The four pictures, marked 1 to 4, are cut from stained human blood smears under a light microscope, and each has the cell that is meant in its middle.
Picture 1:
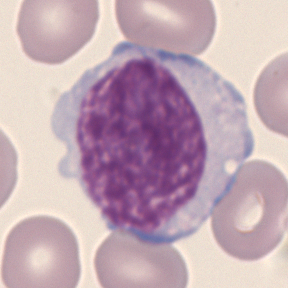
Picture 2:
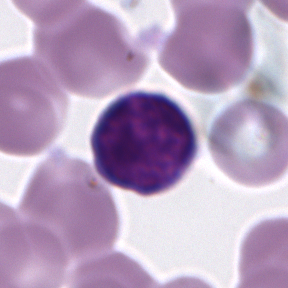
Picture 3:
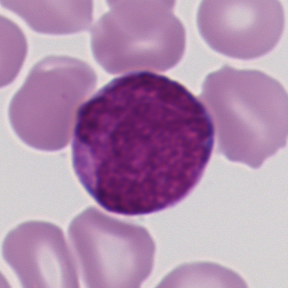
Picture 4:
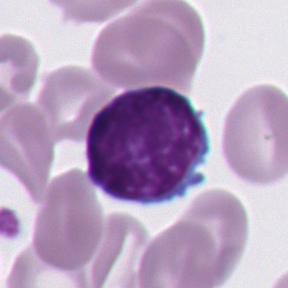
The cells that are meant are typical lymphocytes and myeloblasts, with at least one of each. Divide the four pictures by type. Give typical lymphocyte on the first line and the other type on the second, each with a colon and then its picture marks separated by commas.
typical lymphocyte: 2, 4
myeloblast: 1, 3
